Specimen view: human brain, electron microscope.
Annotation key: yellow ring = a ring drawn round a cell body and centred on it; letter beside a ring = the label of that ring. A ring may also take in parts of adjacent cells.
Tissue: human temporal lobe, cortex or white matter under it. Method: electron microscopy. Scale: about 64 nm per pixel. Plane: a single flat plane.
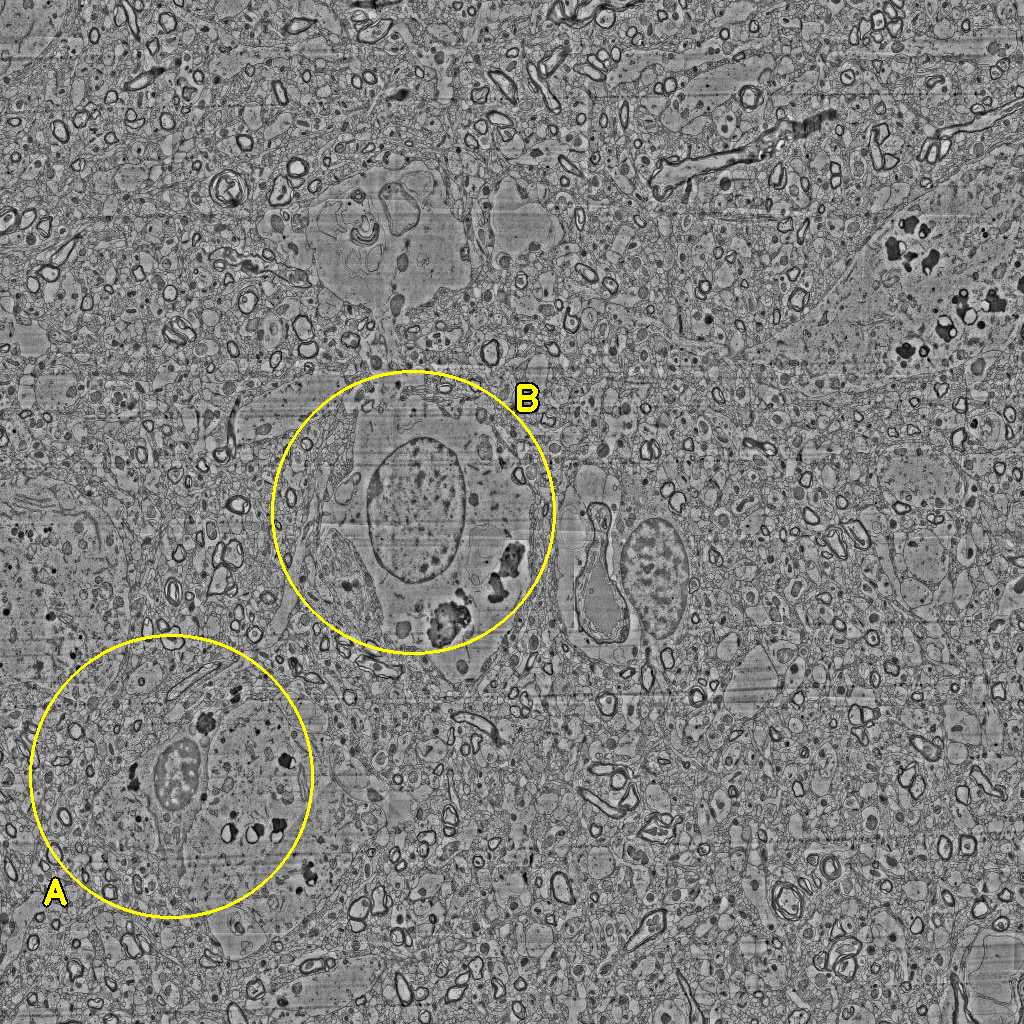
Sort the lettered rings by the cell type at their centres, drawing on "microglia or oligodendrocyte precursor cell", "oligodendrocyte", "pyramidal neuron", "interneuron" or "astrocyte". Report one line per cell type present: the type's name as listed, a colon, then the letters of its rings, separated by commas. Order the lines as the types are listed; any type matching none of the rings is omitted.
oligodendrocyte: A
astrocyte: B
